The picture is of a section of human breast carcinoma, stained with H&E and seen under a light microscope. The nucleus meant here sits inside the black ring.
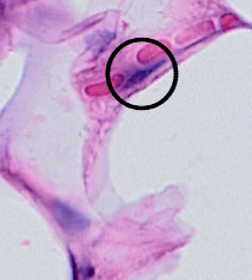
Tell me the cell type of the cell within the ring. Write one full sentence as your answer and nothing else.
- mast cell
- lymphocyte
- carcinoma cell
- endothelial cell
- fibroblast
Cell type answer for this item: the cell within the ring is an endothelial cell.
